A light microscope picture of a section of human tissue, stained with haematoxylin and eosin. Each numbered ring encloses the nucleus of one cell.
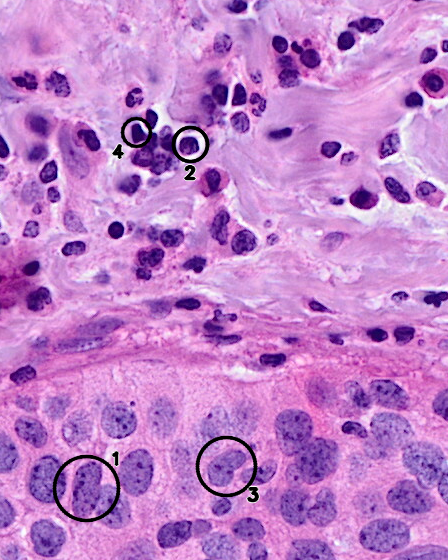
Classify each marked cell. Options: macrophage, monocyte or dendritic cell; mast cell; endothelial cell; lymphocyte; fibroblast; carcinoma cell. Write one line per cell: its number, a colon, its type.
1: carcinoma cell
2: lymphocyte
3: carcinoma cell
4: lymphocyte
